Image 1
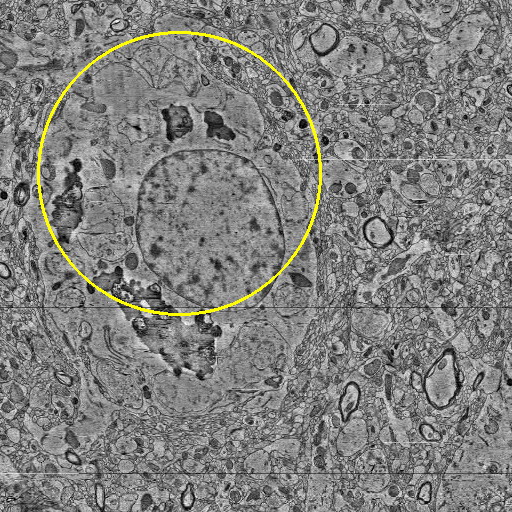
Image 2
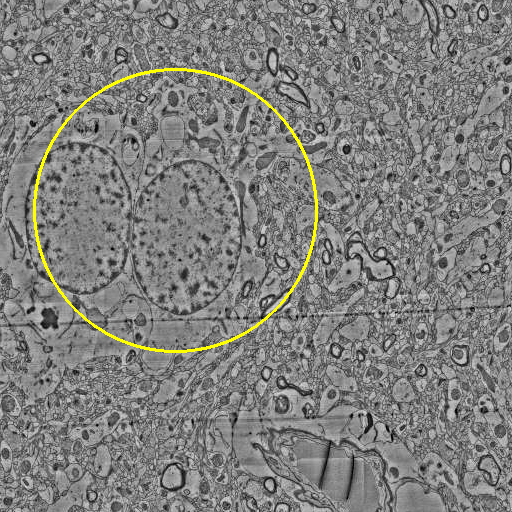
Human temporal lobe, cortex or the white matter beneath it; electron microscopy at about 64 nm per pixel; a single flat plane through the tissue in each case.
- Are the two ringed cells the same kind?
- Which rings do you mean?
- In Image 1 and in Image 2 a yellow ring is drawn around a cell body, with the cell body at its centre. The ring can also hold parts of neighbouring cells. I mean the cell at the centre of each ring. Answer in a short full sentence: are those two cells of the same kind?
Yes, both cells are of the same kind.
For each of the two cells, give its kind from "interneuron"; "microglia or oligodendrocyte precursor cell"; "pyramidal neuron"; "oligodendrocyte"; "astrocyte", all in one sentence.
Each of the two pictures has an astrocyte at the ring centre.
